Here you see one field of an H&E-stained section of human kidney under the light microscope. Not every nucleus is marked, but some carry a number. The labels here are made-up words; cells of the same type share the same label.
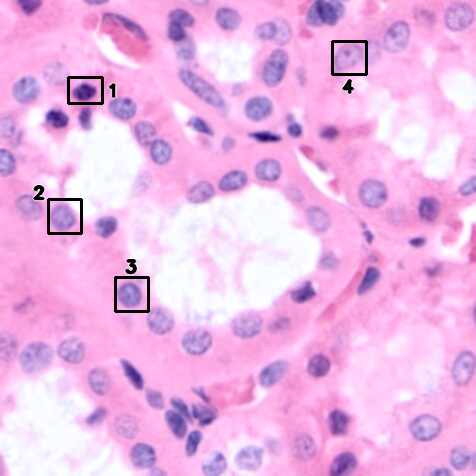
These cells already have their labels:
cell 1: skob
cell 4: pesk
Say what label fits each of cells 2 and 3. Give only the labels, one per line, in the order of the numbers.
skob
skob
